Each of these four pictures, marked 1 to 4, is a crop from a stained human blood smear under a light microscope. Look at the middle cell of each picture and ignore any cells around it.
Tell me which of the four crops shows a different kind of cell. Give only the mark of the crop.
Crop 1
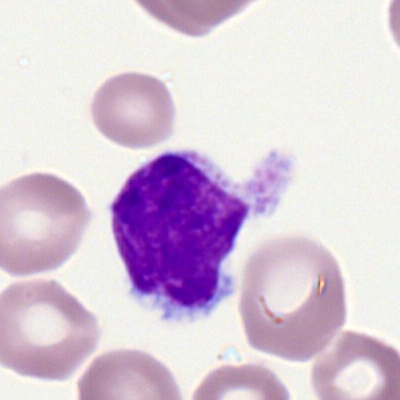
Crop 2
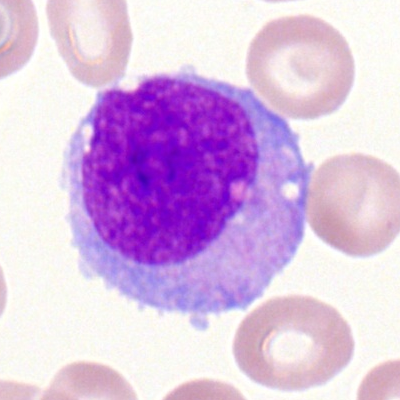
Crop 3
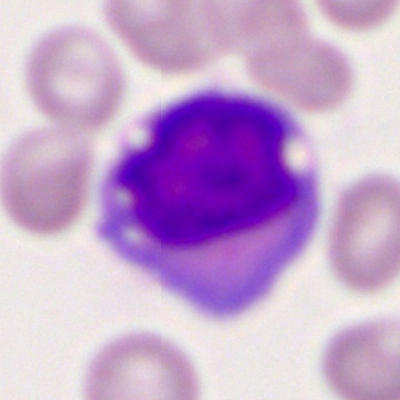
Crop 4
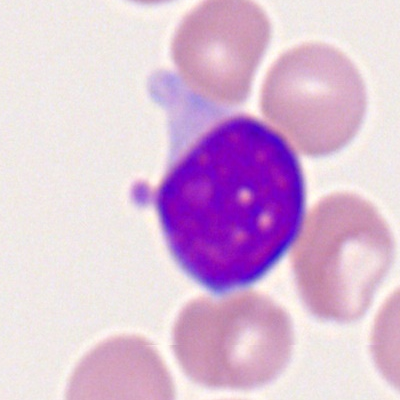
1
